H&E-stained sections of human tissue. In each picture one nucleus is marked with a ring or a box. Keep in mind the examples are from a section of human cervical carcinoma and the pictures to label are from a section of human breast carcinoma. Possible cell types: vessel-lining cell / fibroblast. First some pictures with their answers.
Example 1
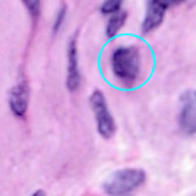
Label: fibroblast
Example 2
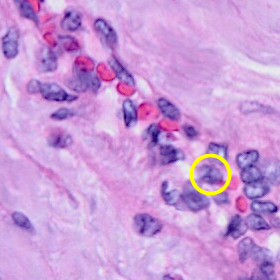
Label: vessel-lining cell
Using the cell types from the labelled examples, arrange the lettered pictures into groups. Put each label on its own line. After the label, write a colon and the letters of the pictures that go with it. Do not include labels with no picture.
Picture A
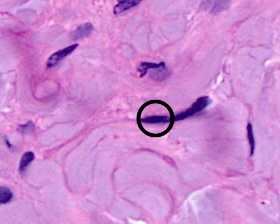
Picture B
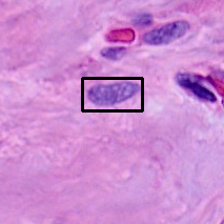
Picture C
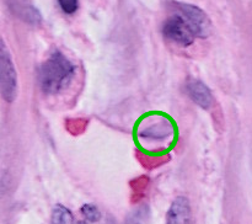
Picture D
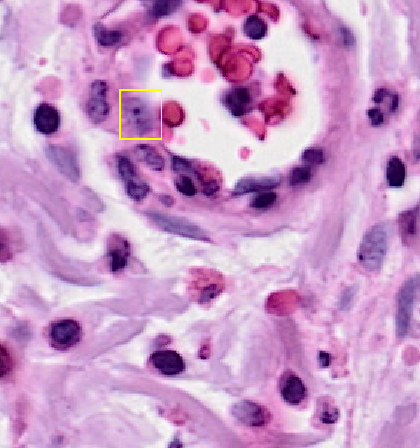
vessel-lining cell: C, D
fibroblast: A, B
